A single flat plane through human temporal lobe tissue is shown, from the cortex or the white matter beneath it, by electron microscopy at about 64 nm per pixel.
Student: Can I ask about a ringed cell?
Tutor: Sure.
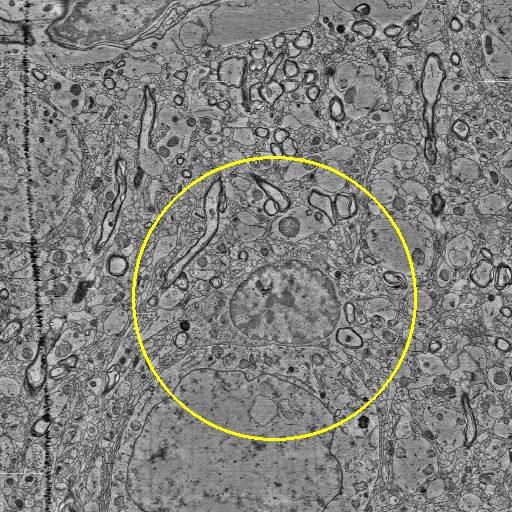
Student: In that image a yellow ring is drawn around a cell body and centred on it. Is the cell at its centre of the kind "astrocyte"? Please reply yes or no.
No, the cell is of another kind.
